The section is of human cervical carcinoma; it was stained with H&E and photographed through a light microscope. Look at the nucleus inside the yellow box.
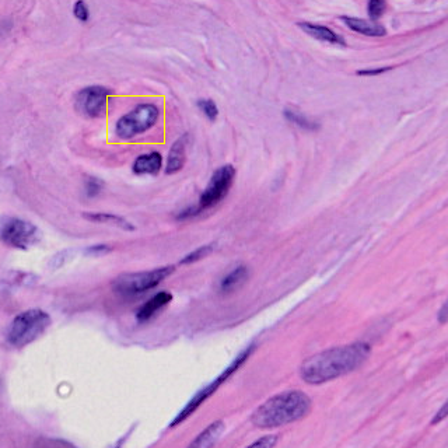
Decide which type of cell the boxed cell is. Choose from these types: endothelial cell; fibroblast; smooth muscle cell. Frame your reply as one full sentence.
On this particular slide, the boxed cell is an endothelial cell.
